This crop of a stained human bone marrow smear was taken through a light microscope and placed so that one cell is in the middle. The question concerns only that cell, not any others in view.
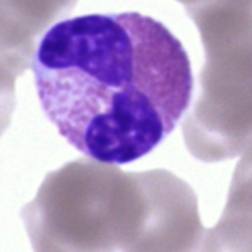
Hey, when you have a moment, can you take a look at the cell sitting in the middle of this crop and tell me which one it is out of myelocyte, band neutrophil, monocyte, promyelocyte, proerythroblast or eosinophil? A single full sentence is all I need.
The single cell at the center of the crop is an eosinophil.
